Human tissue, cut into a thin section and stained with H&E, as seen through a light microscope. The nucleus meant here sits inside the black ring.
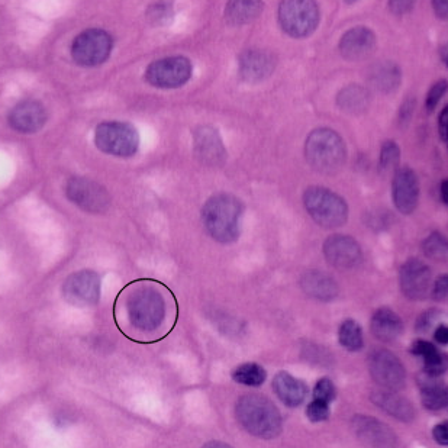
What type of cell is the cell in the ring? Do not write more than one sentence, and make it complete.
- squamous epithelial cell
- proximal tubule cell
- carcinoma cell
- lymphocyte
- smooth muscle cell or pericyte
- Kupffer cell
In the tissue at hand, the cell in the ring is a squamous epithelial cell.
